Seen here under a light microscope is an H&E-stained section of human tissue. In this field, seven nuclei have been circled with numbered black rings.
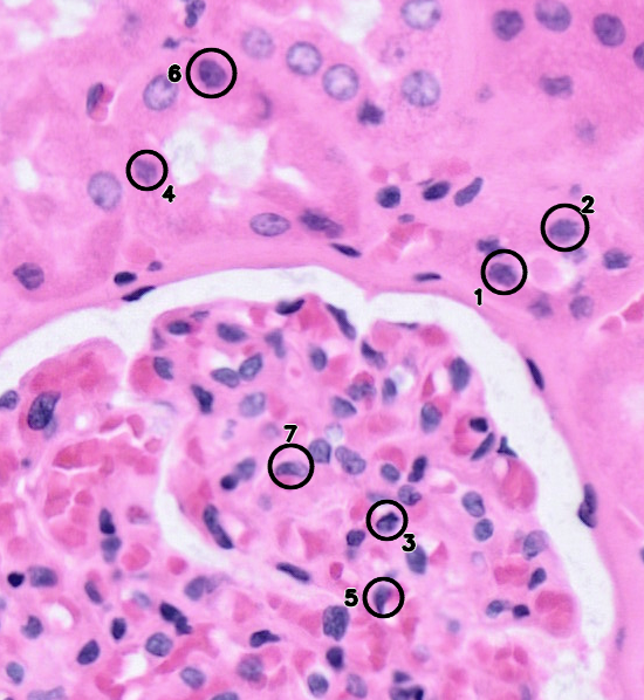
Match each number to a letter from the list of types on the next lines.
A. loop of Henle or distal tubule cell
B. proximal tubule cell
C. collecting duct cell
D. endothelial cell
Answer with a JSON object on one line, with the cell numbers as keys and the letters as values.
{"1": "A", "2": "A", "3": "D", "4": "B", "5": "D", "6": "B", "7": "D"}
